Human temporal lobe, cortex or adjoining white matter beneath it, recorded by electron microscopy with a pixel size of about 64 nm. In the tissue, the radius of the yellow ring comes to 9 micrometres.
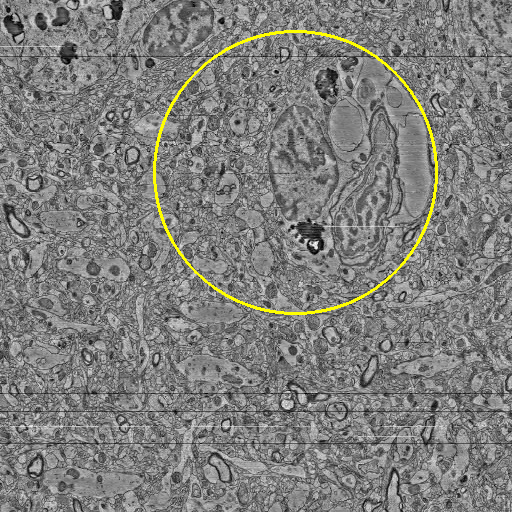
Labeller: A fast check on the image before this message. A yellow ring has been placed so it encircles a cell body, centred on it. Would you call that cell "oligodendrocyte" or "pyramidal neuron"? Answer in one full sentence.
In this image, an oligodendrocyte is the cell on which the yellow ring is centred.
